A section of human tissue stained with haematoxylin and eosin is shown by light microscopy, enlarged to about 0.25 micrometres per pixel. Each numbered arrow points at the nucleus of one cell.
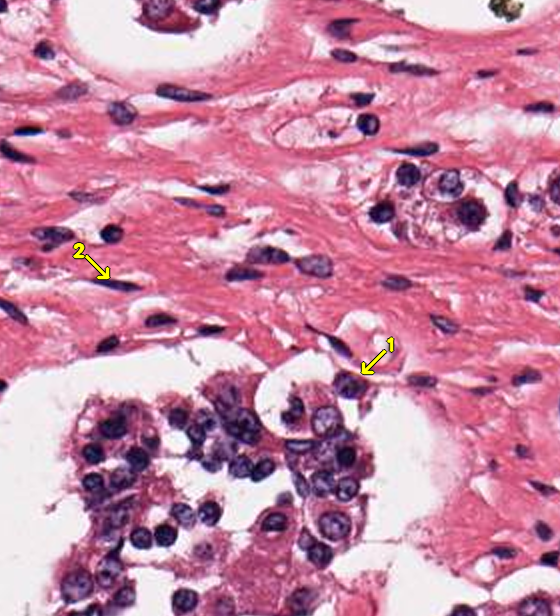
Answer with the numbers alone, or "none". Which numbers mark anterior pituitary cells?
1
